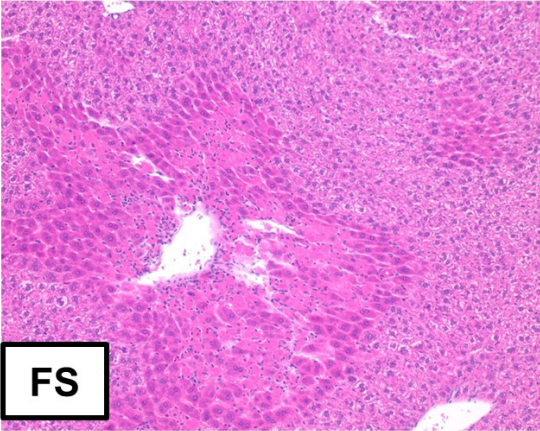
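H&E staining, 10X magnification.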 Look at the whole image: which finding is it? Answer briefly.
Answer: hepatocellular necrosis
